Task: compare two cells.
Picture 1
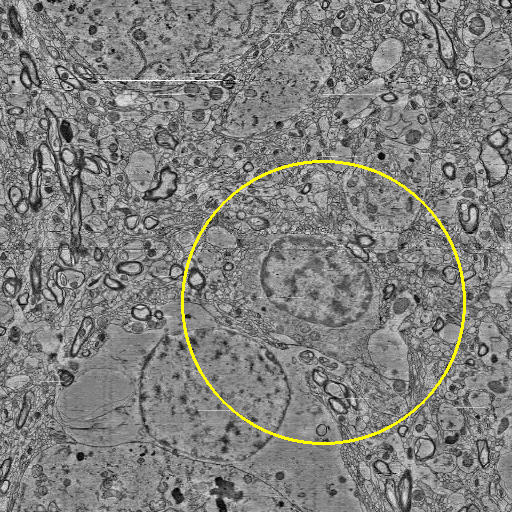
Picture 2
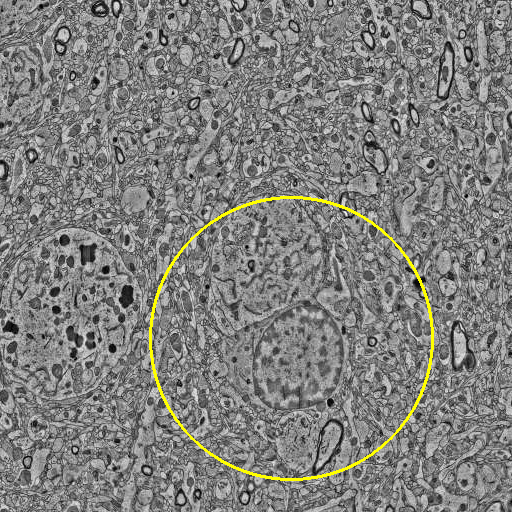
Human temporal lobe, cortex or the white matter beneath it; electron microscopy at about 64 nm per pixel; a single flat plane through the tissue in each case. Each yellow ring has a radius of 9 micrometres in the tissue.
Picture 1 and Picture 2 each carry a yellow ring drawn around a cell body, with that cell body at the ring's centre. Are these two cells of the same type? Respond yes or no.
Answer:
yes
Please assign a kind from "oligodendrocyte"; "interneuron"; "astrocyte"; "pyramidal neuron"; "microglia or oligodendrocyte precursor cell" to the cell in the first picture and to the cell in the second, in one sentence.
Each of the two cells is an oligodendrocyte.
